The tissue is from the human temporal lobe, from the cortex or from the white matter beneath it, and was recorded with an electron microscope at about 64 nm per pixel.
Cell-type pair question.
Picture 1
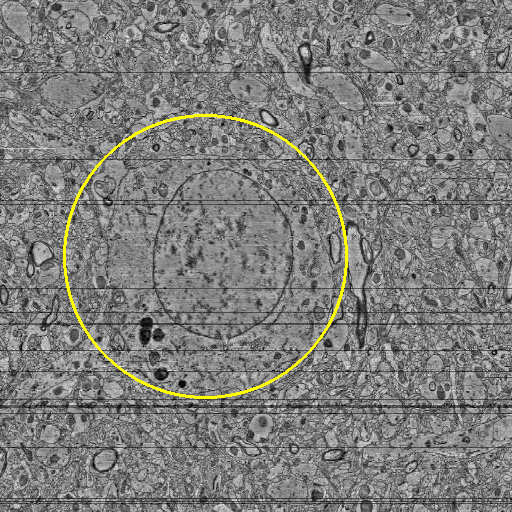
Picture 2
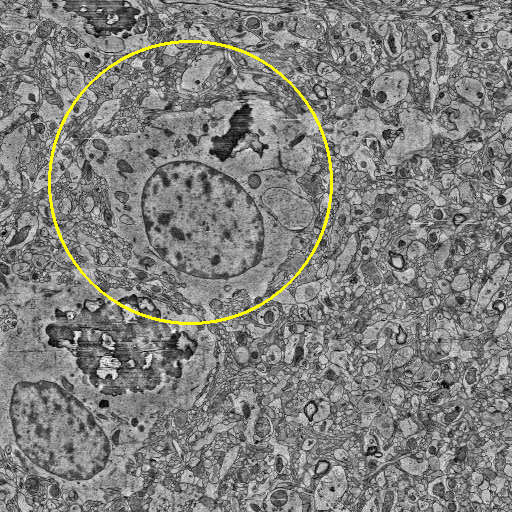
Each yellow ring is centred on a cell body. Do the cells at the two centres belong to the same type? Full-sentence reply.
No, the two cells belong to two types.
